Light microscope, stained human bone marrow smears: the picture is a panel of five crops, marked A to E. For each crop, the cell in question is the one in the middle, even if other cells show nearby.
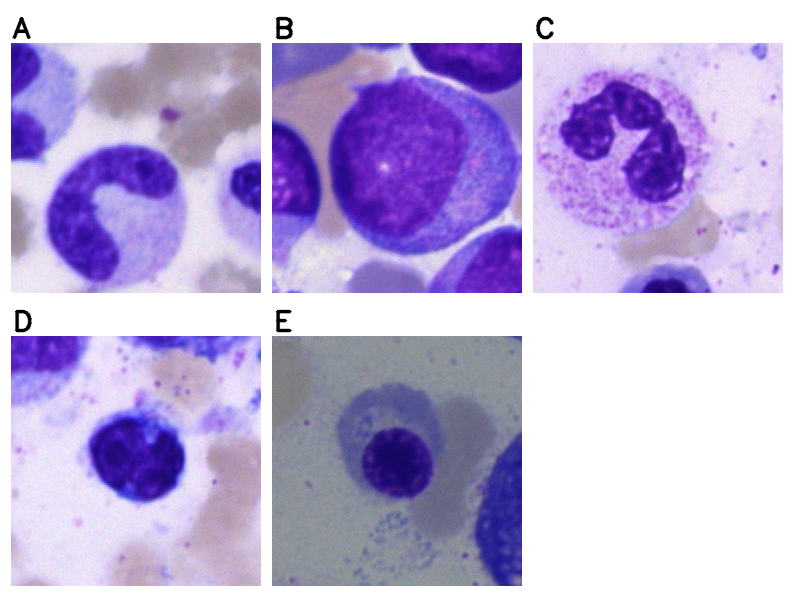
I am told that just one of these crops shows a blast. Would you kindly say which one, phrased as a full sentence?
In this set, crop B is the one showing a blast.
